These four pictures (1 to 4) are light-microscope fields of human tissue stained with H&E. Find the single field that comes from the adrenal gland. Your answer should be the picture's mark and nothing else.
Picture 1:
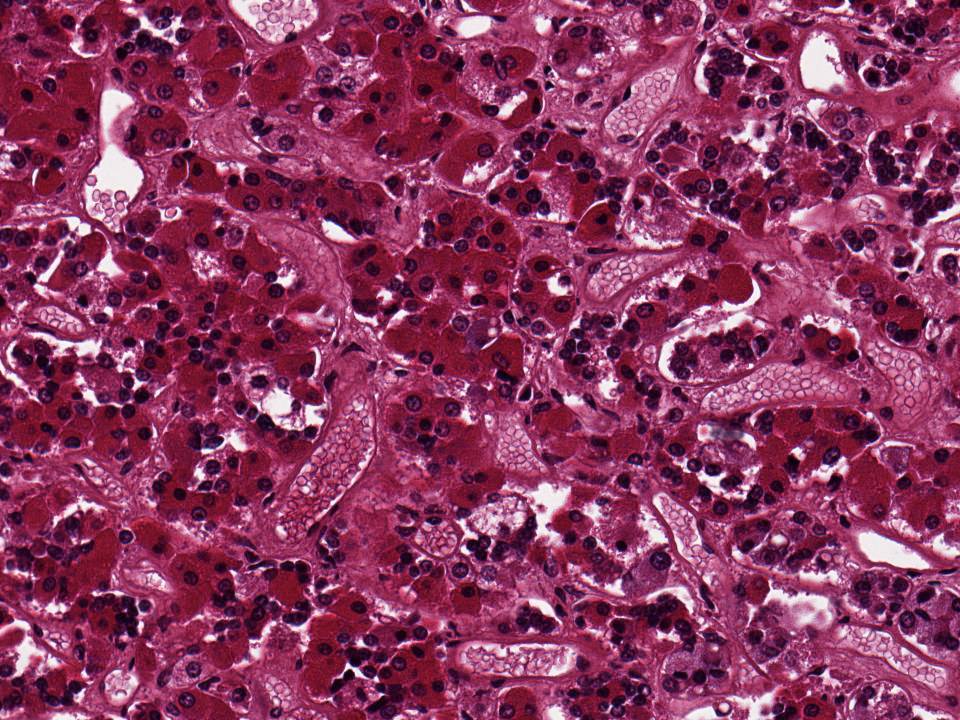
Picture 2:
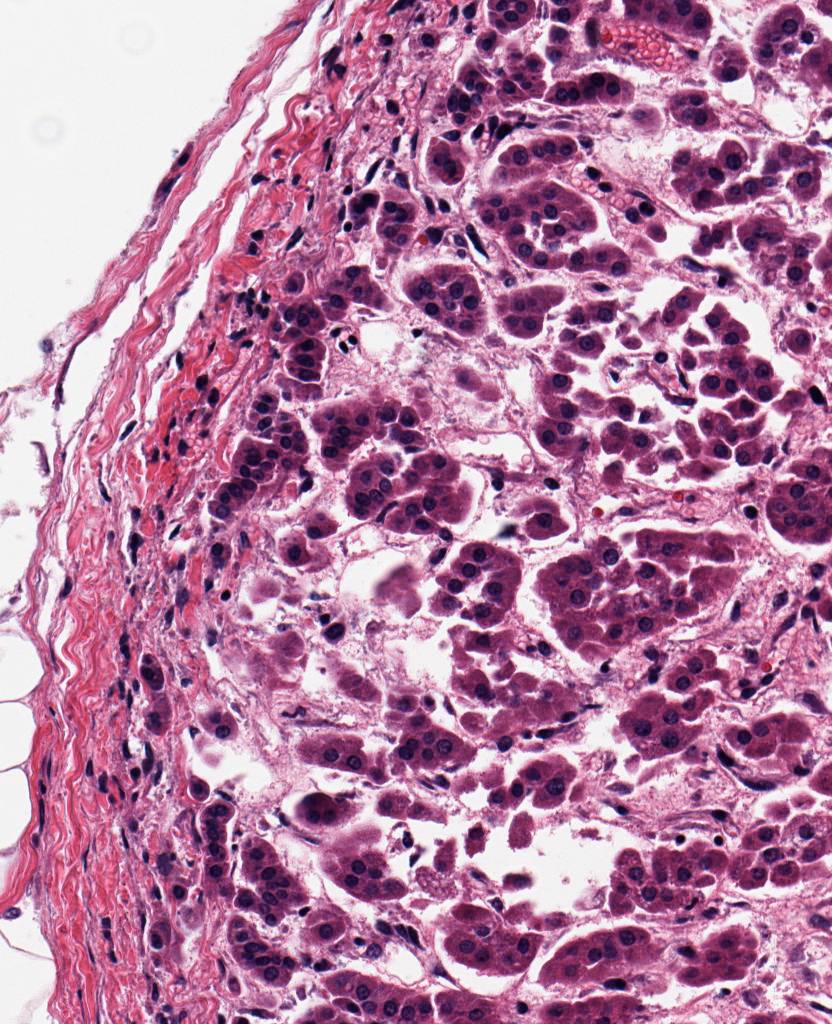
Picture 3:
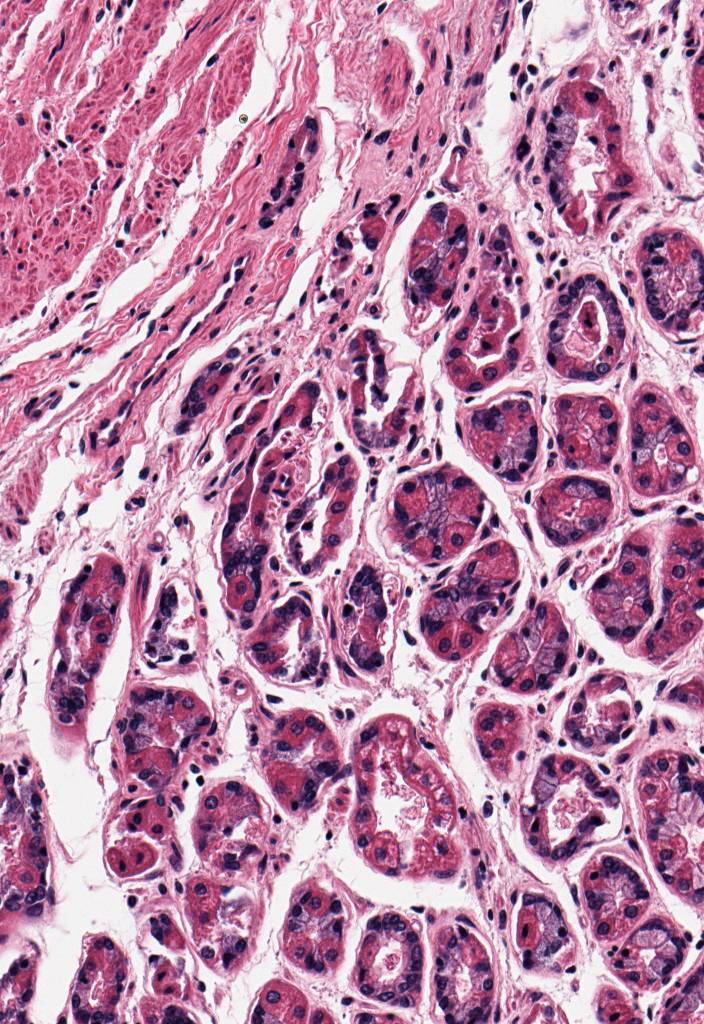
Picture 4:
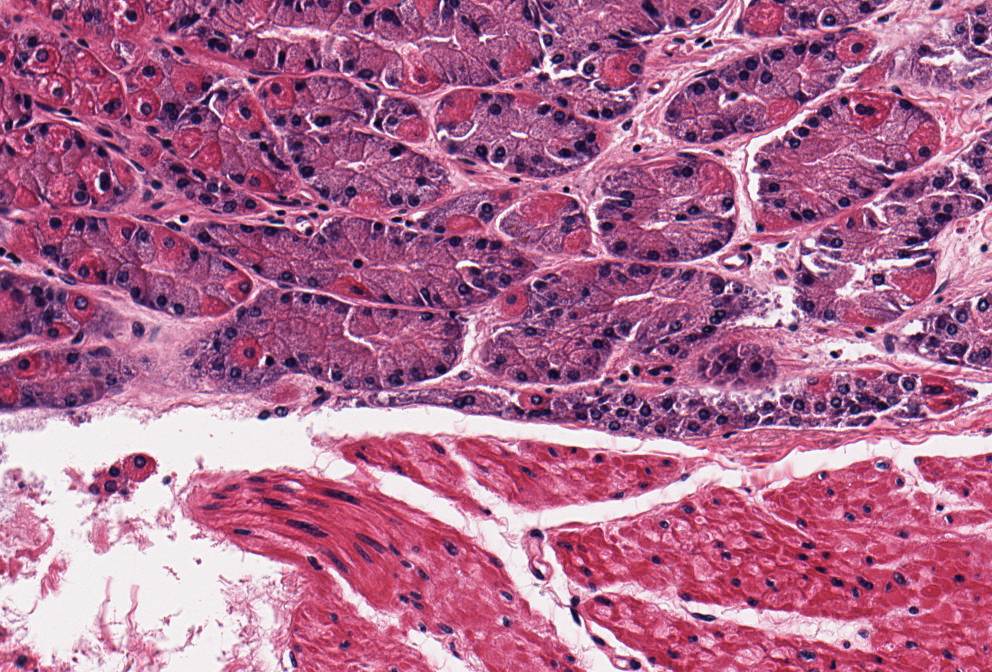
2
